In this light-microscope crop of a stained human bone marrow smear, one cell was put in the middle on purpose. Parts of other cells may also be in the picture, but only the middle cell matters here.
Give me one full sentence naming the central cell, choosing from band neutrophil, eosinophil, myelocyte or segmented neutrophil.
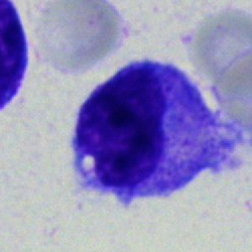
The middle of this crop is occupied by a myelocyte.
